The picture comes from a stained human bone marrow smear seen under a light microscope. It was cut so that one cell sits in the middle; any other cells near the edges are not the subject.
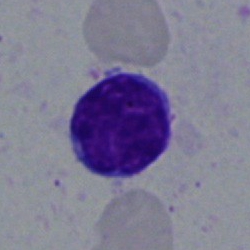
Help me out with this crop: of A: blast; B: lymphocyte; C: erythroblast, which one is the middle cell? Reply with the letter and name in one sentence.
Here the central cell is a lymphocyte, and option B is correct.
